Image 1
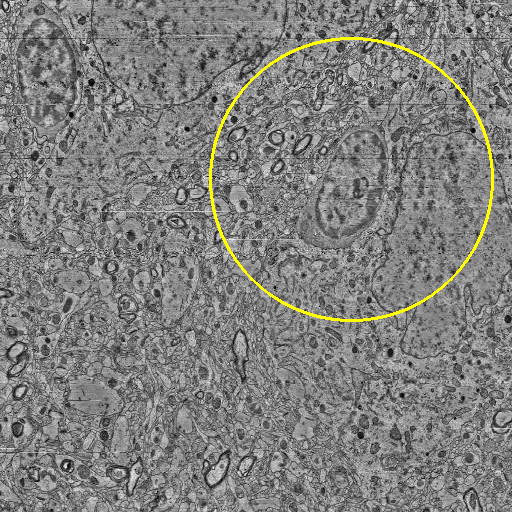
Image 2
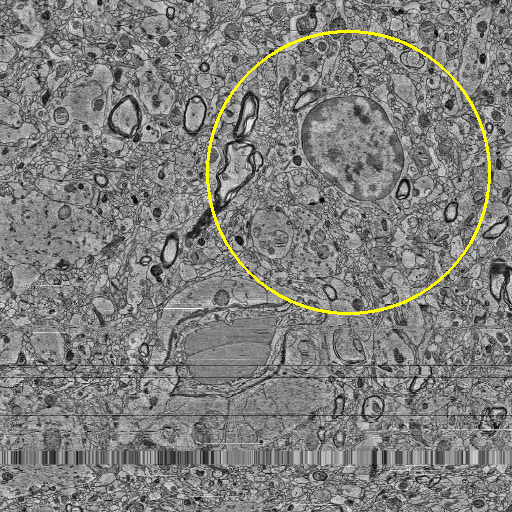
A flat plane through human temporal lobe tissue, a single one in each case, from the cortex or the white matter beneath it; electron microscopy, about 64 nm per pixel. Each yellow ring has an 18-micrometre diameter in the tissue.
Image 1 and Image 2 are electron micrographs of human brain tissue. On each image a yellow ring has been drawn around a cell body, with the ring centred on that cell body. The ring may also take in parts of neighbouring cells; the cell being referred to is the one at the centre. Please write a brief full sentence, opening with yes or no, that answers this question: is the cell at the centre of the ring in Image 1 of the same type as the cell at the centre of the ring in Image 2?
No, the two cells are of two types.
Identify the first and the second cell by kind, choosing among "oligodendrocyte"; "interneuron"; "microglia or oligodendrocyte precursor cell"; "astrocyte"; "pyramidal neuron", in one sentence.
The one in the first picture is an oligodendrocyte, while the one in the second is a microglial cell or oligodendrocyte precursor cell.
